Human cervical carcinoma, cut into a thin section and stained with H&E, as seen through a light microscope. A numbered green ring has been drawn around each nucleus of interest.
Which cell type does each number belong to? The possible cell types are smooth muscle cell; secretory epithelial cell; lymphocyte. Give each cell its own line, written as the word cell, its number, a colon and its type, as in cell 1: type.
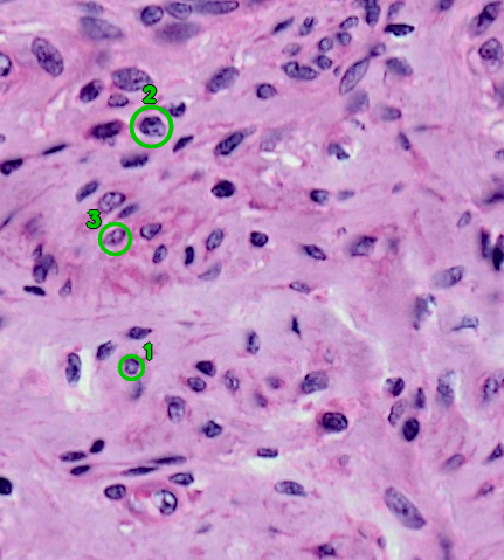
cell 1: smooth muscle cell
cell 2: lymphocyte
cell 3: smooth muscle cell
